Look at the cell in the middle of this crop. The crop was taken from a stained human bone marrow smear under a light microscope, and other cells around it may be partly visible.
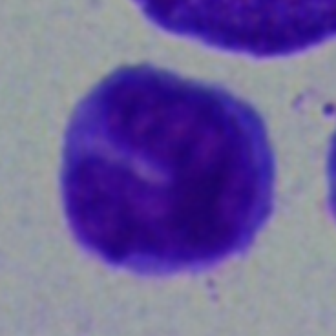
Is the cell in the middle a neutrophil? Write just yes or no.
no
